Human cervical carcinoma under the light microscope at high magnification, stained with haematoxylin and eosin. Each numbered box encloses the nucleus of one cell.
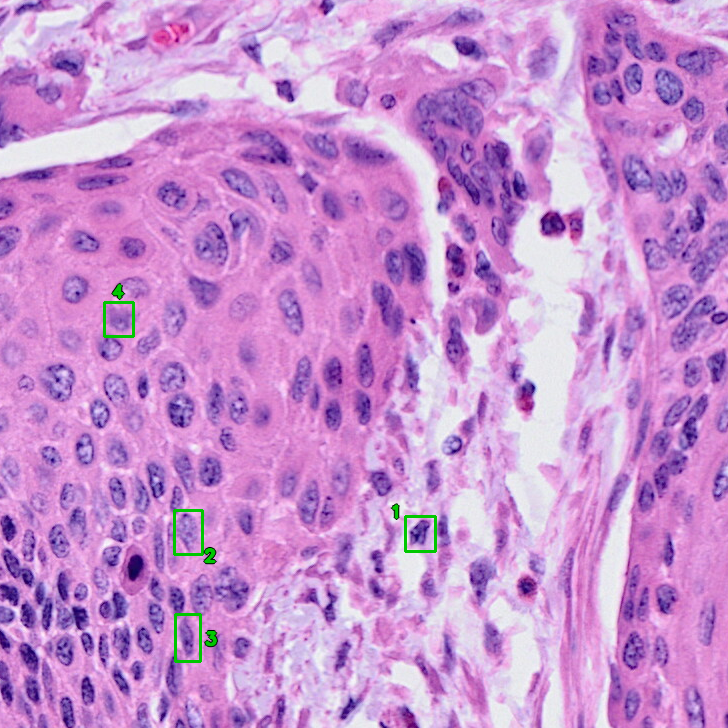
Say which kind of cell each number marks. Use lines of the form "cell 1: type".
cell 1: lymphocyte
cell 2: squamous carcinoma cell
cell 3: squamous carcinoma cell
cell 4: squamous carcinoma cell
